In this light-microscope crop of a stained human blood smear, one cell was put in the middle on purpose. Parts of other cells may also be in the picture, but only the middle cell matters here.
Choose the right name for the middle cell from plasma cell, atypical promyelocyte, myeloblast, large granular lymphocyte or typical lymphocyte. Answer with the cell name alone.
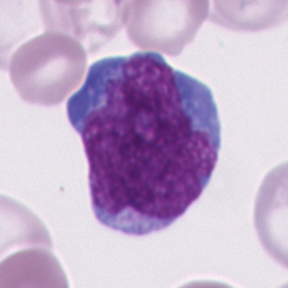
myeloblast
